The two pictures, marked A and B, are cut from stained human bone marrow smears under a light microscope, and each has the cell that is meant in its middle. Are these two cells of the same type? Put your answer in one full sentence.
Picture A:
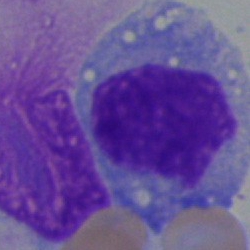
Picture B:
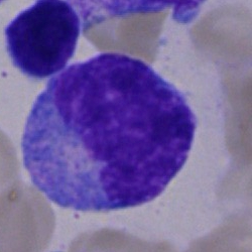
No, the types are not the same, since picture A shows a blast and picture B a promyelocyte.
